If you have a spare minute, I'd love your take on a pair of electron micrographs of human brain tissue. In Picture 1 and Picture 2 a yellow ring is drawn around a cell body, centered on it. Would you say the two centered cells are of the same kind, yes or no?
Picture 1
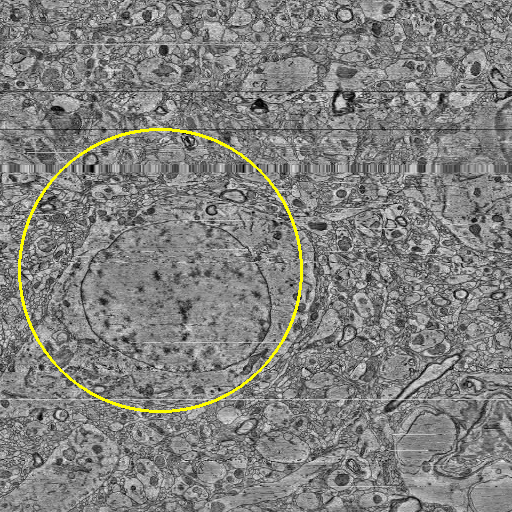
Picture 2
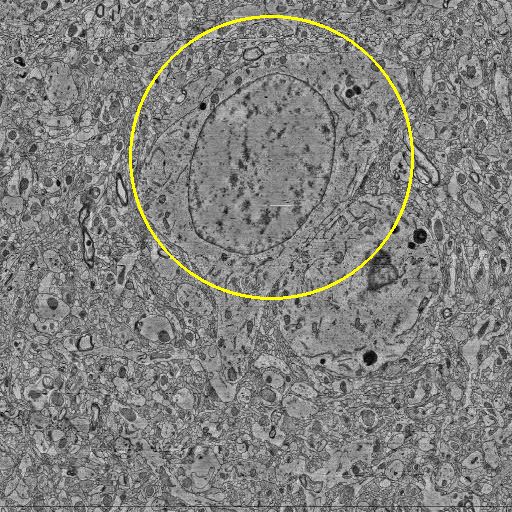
yes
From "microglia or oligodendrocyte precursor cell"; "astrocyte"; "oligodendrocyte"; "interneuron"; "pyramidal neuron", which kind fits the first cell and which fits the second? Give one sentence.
Each of the two cells is a pyramidal neuron.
